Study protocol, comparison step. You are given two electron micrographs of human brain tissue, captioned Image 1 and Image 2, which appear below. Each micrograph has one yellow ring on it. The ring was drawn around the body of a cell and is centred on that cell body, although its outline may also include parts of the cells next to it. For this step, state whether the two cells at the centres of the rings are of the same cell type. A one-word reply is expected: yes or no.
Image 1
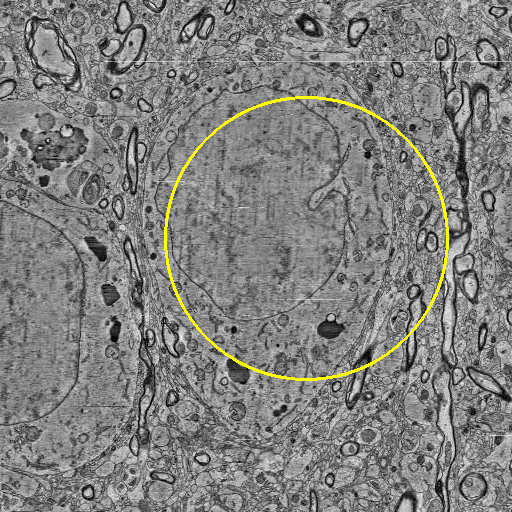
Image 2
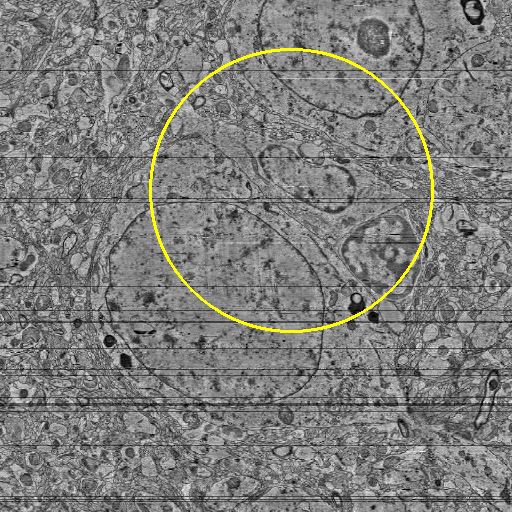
no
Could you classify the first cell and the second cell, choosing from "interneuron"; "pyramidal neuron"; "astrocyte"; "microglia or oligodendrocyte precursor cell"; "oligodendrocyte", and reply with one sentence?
The second cell is a microglial cell or oligodendrocyte precursor cell, while the first is a pyramidal neuron.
